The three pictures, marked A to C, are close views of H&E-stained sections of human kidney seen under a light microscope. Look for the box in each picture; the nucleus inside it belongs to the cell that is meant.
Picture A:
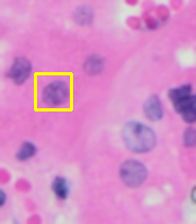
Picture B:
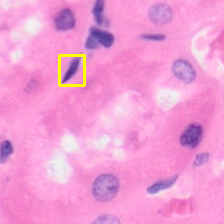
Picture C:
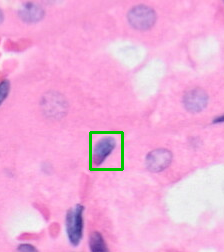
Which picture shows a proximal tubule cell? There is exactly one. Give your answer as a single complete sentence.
Picture A shows the proximal tubule cell.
